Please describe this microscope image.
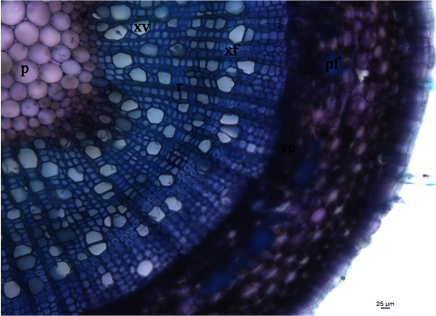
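This transverse section of a woody stem shows abundant secondary xylem between the pith and the outer bark tissues. At the upper left lies pith made of large, rounded, thin-walled parenchyma cells stained pale purple. The secondary xylem stains blue and is built of small thick-walled fibre cells in radial rows, among which wide open xylem vessels are scattered singly or in small groups. Narrow radial rays of elongated cells run outward through the xylem. Outside the xylem a thin dark band marks the vascular cambium, beyond which lie dark blue patches of phloem fibres and purple rounded cells toward the outer edge.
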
